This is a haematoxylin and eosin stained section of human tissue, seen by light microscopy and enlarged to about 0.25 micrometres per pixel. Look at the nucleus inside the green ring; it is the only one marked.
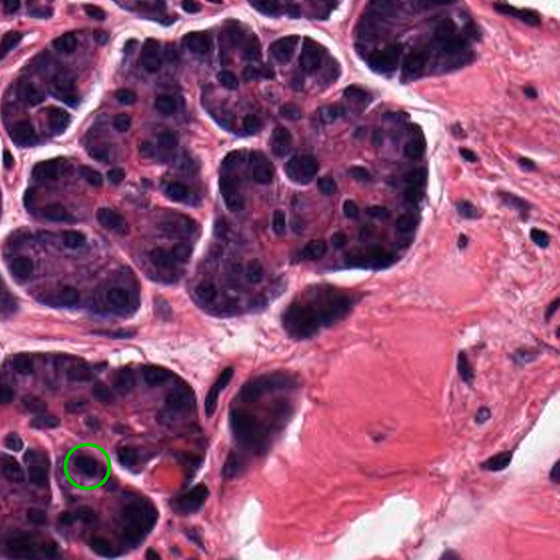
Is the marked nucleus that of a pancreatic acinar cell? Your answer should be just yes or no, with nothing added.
yes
